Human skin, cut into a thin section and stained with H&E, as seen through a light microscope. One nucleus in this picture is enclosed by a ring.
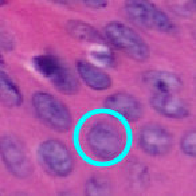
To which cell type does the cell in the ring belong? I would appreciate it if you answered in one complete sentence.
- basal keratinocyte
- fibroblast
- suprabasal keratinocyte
Cytologically, the cell in the ring is to be regarded as a suprabasal keratinocyte.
